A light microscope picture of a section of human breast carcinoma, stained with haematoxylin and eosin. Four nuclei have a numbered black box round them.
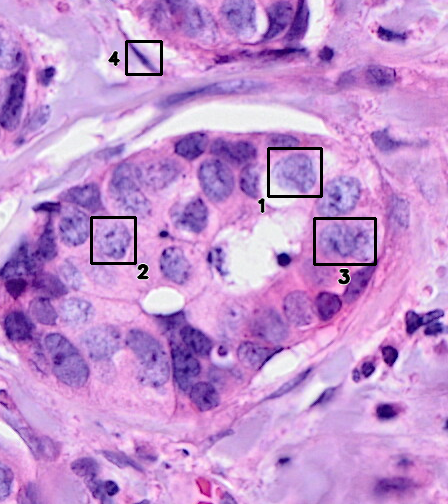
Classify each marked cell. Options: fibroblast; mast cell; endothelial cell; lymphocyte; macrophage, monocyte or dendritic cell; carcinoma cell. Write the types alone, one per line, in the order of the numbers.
carcinoma cell
carcinoma cell
carcinoma cell
fibroblast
